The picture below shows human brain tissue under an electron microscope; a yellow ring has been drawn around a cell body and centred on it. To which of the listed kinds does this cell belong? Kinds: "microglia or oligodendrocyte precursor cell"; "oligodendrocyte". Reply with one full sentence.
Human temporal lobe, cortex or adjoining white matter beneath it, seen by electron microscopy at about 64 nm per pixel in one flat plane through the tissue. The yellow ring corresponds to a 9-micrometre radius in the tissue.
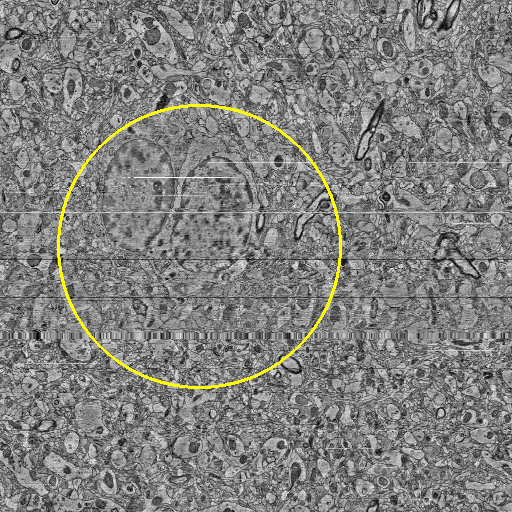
It is a microglial cell or oligodendrocyte precursor cell that the yellow ring in the picture is centred on.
